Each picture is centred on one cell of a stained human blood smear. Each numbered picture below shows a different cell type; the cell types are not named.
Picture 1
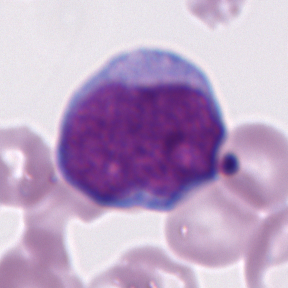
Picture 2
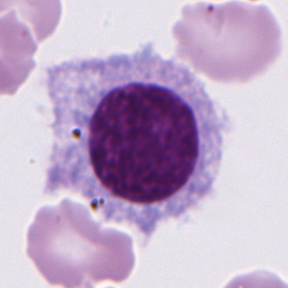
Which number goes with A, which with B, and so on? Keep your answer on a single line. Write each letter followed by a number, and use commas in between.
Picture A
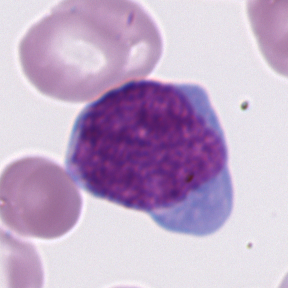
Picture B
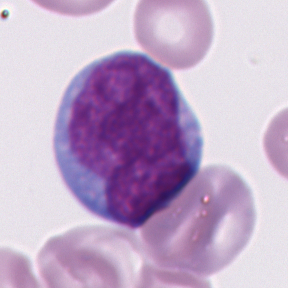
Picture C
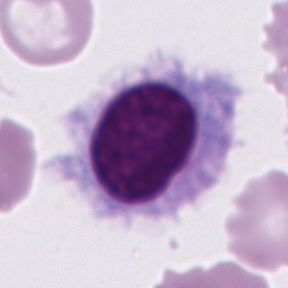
A 1, B 1, C 2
